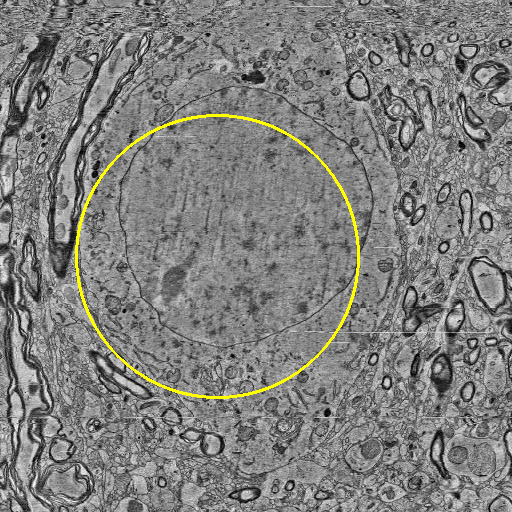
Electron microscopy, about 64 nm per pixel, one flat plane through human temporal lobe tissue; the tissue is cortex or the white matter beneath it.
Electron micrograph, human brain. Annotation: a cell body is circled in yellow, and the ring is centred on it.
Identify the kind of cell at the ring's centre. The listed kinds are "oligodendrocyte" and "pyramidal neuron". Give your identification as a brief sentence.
The circled cell body is that of a pyramidal neuron.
